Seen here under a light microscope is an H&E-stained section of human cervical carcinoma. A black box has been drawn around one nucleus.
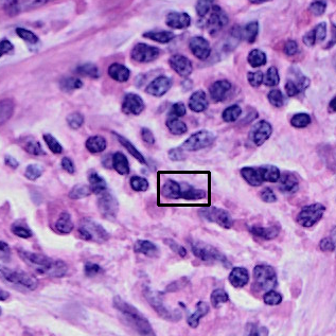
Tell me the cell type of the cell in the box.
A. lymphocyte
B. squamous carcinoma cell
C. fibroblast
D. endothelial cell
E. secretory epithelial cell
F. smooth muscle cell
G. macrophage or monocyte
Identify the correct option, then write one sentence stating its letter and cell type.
What option A states, that the cell in the box is a lymphocyte, is correct.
